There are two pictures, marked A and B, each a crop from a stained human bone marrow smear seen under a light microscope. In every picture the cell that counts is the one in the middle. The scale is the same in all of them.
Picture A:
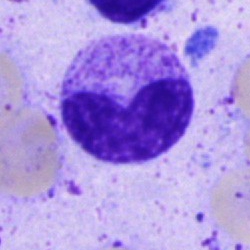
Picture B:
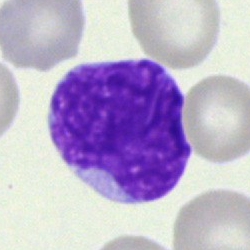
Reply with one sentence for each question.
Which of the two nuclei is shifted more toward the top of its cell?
It is the nucleus in picture B that lies further toward the top of its cell.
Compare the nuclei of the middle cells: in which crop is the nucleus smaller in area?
The nucleus in picture A is smaller; the one in picture B has about 2 times its area.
